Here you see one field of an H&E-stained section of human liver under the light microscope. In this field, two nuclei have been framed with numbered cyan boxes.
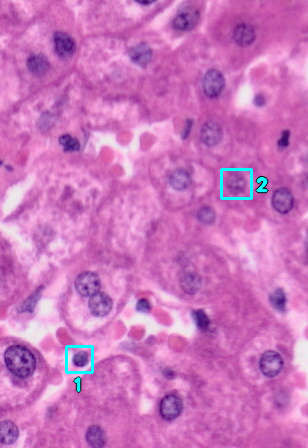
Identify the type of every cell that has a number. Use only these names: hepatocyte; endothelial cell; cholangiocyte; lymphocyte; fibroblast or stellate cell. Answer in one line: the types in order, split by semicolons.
lymphocyte; hepatocyte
